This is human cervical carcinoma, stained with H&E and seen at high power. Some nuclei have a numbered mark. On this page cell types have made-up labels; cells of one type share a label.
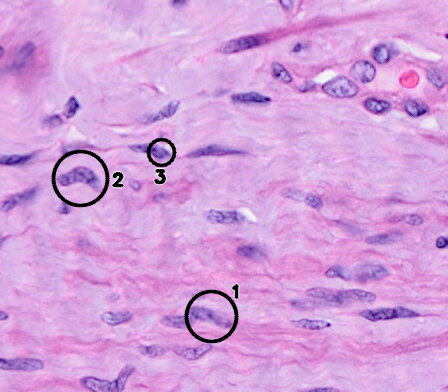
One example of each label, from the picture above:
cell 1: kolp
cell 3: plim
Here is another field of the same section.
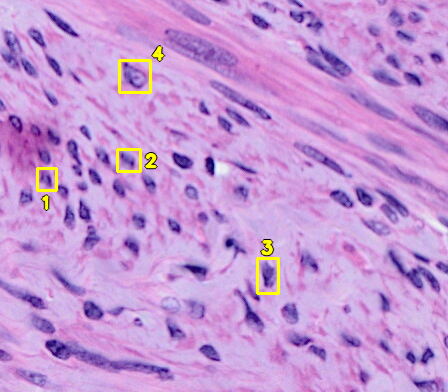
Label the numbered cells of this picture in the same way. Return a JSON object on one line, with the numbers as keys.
{"1": "kolp", "2": "kolp", "3": "plim", "4": "kolp"}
